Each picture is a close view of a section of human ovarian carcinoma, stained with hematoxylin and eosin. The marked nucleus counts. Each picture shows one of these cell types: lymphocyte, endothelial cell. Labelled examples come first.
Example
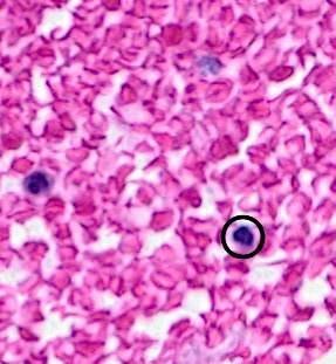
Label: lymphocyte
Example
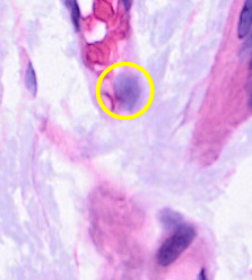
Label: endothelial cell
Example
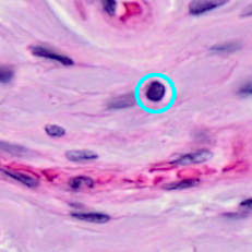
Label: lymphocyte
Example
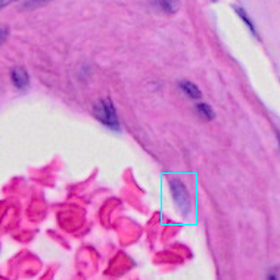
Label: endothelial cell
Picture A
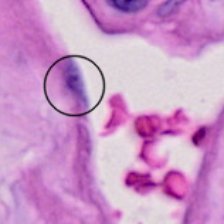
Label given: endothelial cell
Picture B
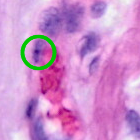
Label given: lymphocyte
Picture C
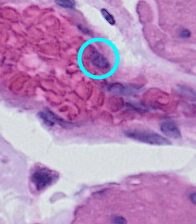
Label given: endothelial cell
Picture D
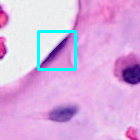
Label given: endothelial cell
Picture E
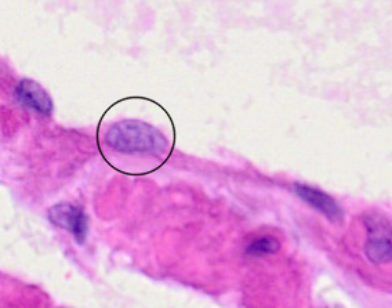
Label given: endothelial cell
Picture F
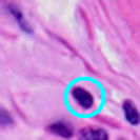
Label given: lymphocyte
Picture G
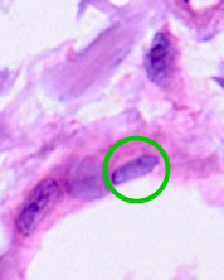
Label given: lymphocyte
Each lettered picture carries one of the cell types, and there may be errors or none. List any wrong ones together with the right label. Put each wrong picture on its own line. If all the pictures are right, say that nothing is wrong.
B: change lymphocyte to endothelial cell
G: change lymphocyte to endothelial cell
